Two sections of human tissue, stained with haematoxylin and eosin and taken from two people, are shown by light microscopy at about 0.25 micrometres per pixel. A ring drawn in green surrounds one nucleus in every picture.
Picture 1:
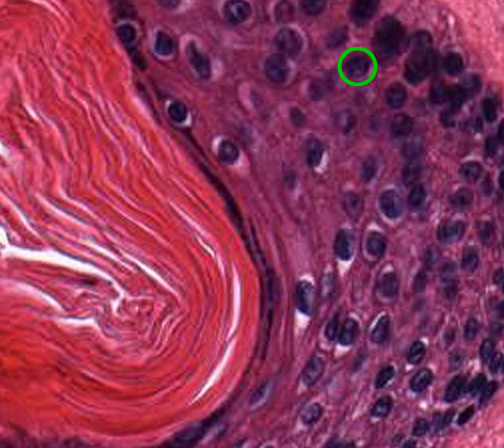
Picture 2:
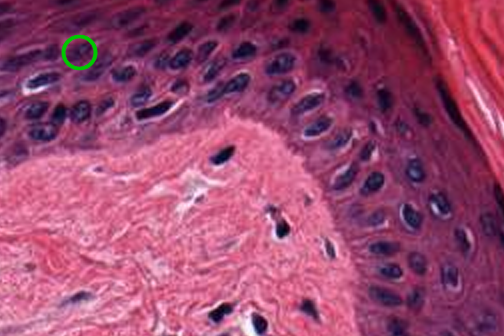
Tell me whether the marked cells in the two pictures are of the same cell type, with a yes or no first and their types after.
Yes, both are keratinocytes.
